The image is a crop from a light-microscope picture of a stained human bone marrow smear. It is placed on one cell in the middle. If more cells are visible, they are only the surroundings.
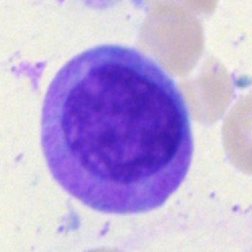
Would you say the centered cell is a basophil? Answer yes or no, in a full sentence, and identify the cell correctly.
No, the middle cell is classified as a promyelocyte instead of a basophil.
